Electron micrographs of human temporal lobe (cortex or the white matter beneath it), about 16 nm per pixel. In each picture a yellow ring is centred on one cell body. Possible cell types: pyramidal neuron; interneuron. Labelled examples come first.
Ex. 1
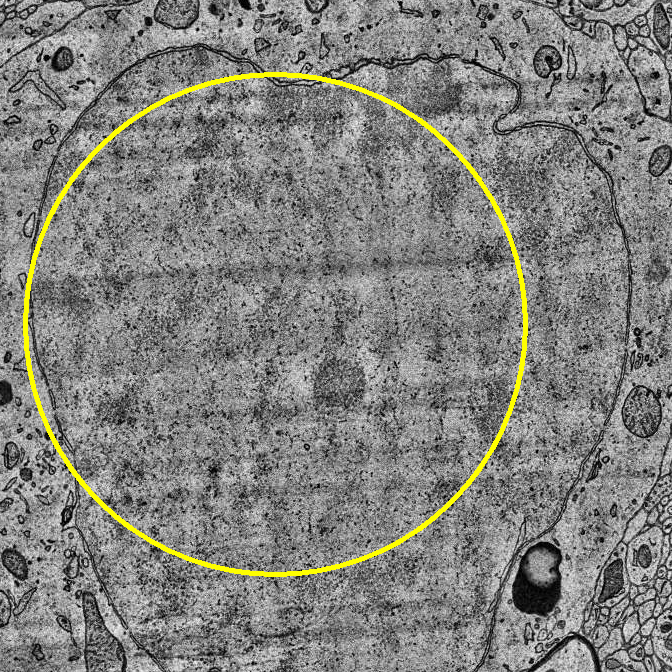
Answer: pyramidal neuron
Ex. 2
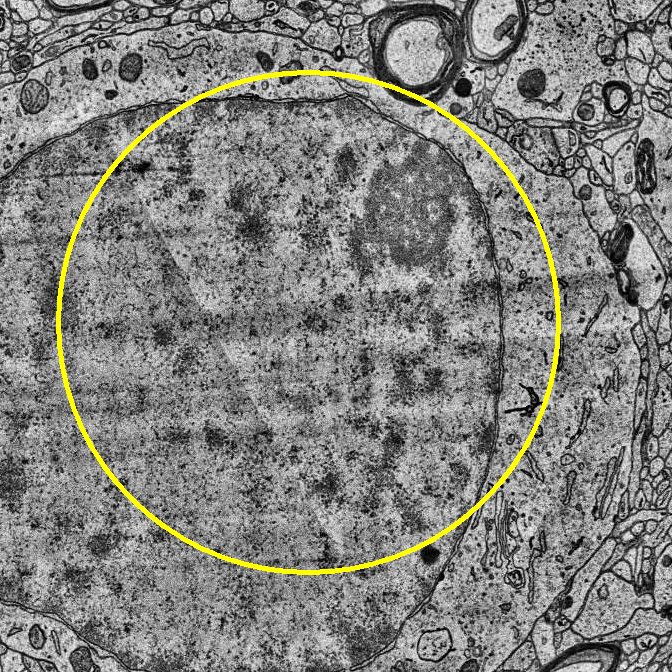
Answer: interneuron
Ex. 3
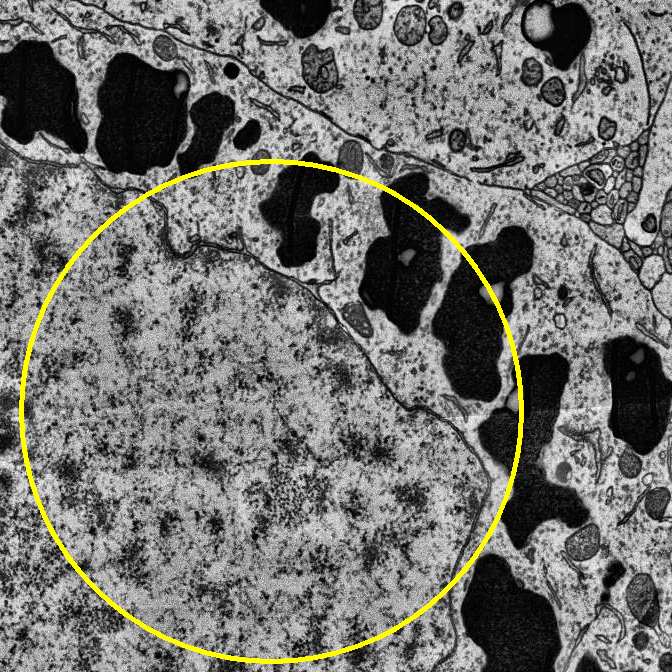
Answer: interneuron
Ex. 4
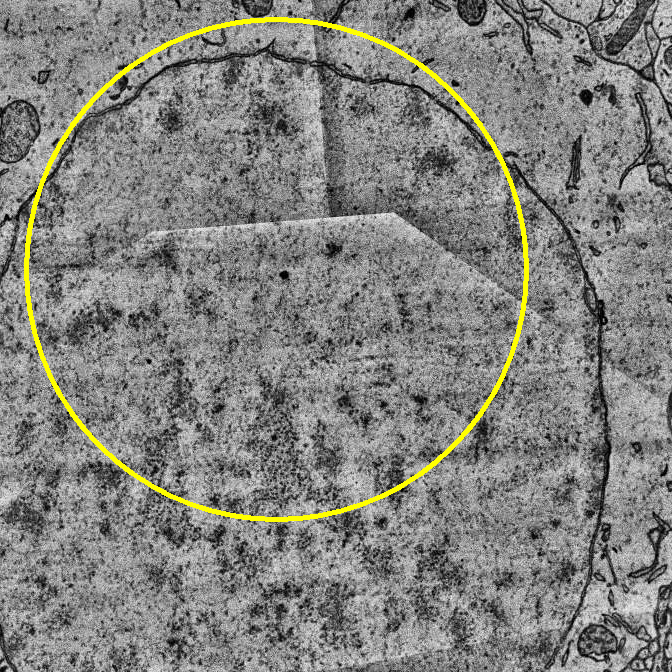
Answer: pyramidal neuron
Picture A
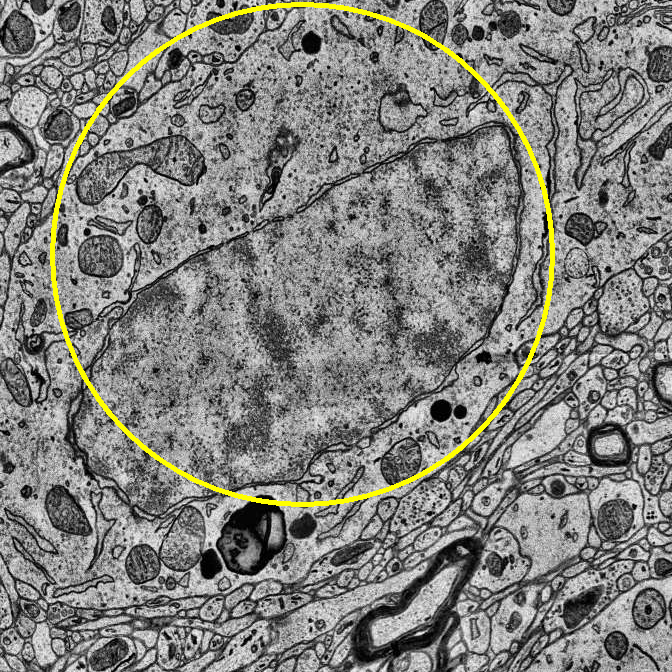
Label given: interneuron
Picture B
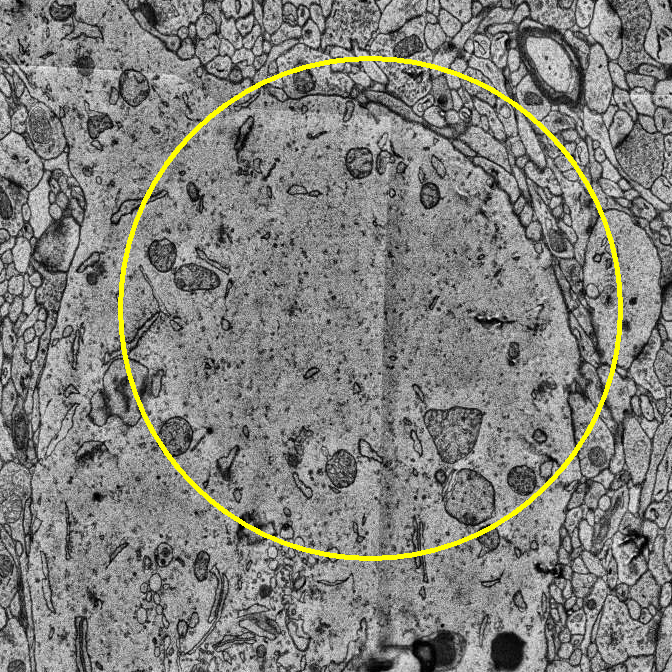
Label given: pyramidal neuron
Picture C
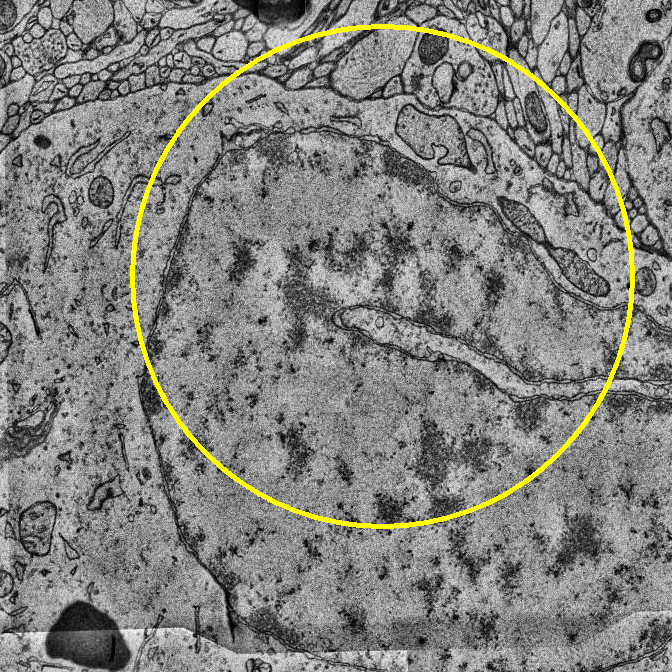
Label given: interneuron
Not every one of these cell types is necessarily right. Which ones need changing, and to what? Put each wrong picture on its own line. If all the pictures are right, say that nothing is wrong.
None of the labels needs changing.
